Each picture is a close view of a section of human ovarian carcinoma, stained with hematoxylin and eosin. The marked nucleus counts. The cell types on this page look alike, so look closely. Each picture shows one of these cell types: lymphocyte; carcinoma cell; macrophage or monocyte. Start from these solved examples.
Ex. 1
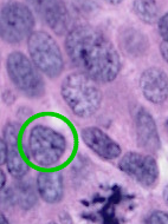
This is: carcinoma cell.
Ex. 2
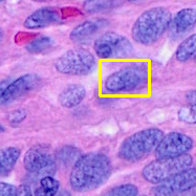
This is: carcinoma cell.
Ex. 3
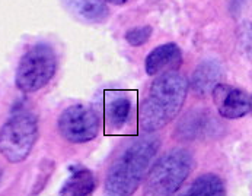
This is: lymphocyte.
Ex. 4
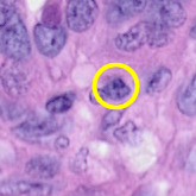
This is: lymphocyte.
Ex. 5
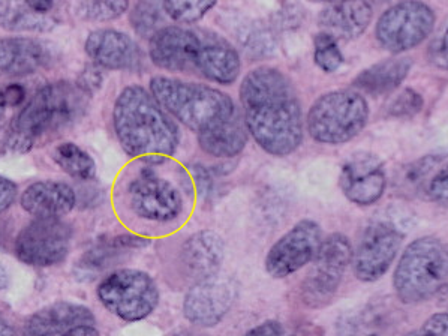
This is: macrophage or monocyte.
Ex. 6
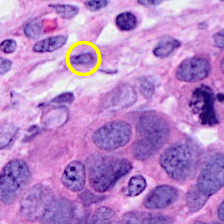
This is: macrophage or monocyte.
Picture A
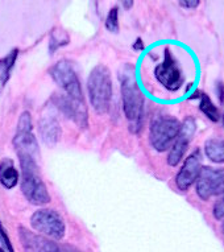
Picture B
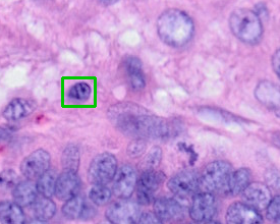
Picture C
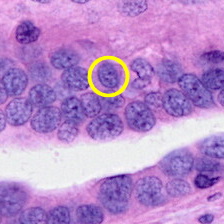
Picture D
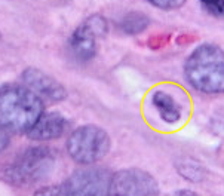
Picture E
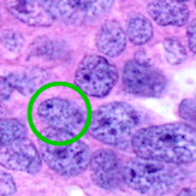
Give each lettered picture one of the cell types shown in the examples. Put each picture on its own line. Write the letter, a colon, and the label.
A: lymphocyte.
B: lymphocyte.
C: carcinoma cell.
D: lymphocyte.
E: carcinoma cell.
